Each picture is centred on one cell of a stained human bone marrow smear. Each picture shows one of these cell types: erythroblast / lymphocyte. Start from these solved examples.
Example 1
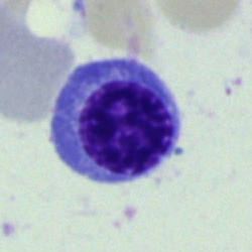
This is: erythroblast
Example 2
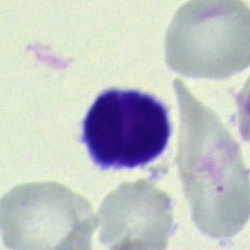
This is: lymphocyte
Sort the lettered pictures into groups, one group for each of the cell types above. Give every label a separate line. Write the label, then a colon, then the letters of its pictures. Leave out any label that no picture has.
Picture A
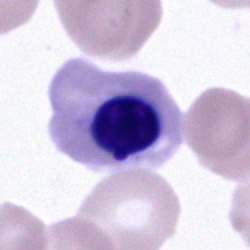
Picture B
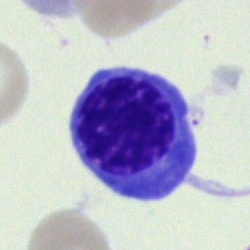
erythroblast: A, B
